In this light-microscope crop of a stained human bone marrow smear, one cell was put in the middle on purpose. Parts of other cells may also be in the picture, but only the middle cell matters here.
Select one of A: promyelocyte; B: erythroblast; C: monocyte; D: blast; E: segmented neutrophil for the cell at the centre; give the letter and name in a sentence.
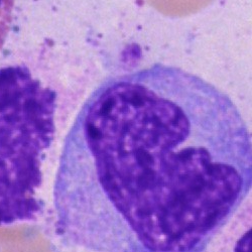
For this crop, option C is right, the centered cell being a monocyte.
